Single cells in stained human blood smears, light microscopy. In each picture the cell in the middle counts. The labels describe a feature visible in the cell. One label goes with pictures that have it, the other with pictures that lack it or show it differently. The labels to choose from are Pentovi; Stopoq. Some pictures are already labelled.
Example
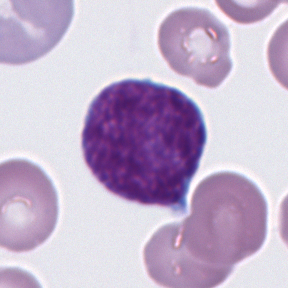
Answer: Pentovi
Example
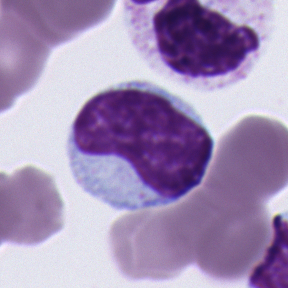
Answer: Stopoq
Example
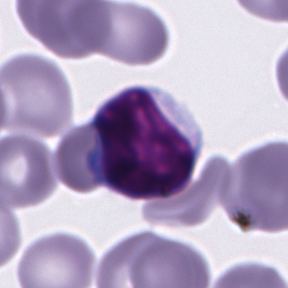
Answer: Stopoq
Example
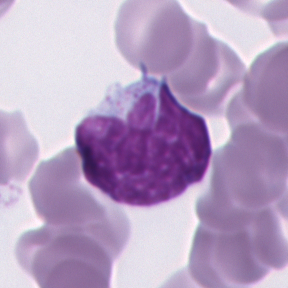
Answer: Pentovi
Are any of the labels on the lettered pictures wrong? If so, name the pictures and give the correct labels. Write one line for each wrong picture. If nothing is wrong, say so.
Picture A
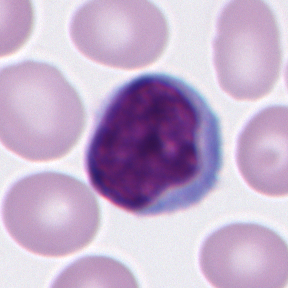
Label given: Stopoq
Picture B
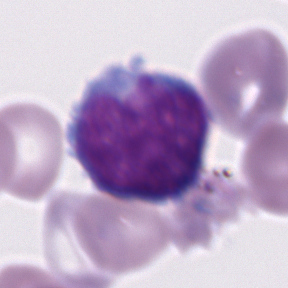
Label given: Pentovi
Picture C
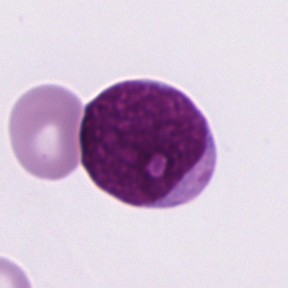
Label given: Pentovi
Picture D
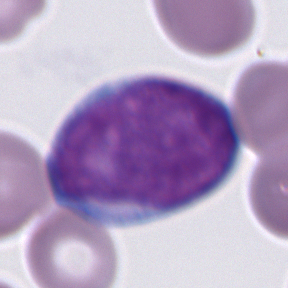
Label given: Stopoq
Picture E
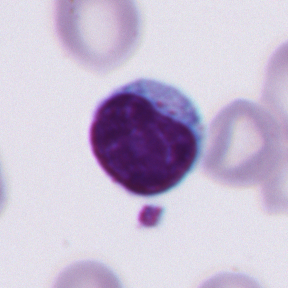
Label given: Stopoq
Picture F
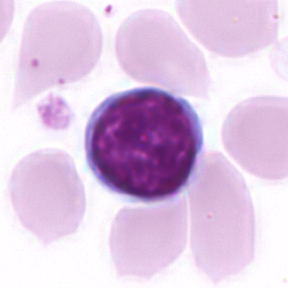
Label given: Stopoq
C: Stopoq, not Pentovi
